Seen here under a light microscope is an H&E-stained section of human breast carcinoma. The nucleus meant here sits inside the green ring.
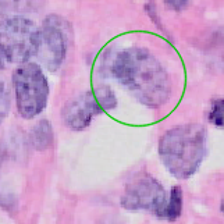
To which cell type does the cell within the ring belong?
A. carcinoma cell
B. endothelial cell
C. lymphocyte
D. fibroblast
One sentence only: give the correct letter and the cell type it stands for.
Option A is correct in that the cell within the ring is a carcinoma cell.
